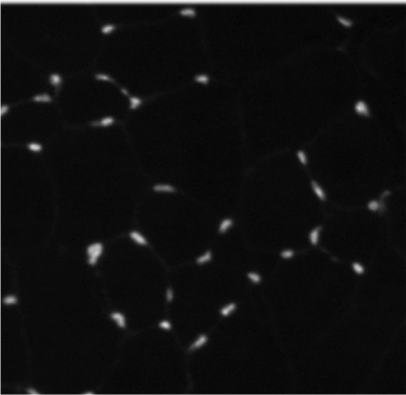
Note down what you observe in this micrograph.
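This cross-section of skeletal muscle shows the outlines of muscle fibers only faintly, as thin dim lines around dark polygonal areas. Scattered over the field are small, bright, elongated spots lying on the fiber borders, often where fibers meet. These discrete bright spots are spaced apart rather than forming continuous rims. Most of the length of each fiber border remains dim, in contrast to the bright spots.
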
